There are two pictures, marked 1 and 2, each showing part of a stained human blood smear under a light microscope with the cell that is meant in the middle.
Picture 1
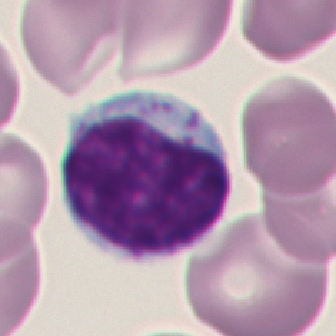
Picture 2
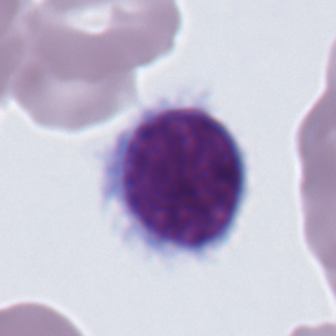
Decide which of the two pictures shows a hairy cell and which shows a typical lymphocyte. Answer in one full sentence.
In picture 1 the cell is a typical lymphocyte; in picture 2, a hairy cell.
